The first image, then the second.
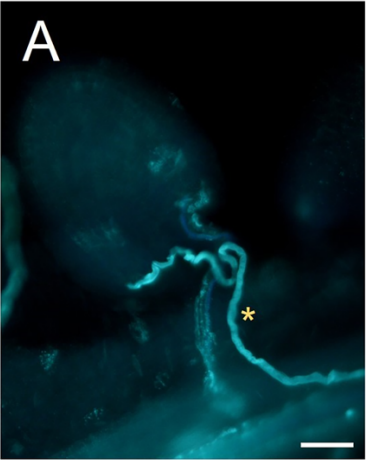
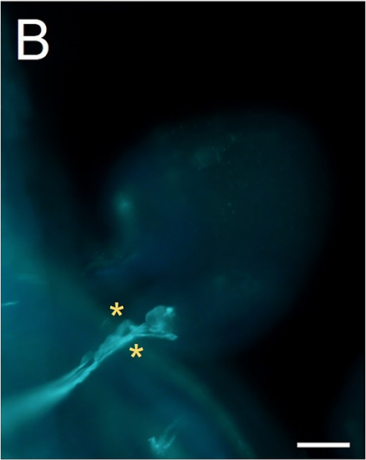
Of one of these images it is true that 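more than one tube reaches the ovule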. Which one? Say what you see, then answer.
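Second image: two bright tubular strands, each marked, converge at the ovule. First image: a single long bright tube, marked once, runs to the ovule. On this evidence: the second image.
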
